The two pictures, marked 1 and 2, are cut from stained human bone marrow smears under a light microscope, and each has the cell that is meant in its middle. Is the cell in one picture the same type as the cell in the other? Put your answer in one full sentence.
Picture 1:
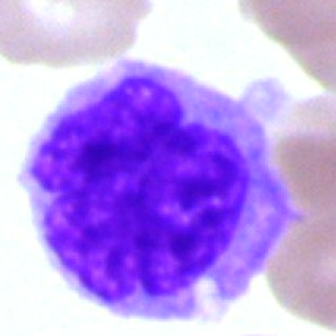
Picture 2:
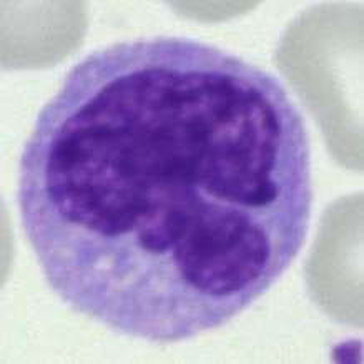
Yes, they are the same type: both are monocytes.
